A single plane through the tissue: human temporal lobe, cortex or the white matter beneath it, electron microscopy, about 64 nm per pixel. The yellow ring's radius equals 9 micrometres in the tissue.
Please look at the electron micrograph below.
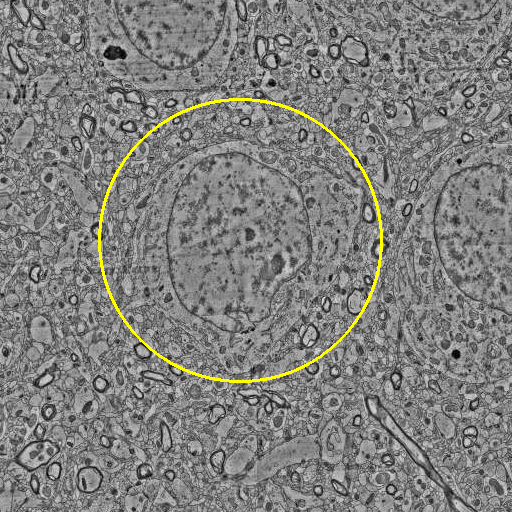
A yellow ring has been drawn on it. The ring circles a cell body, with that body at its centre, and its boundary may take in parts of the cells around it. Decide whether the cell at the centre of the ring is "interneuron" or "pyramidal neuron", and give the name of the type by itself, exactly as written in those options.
pyramidal neuron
